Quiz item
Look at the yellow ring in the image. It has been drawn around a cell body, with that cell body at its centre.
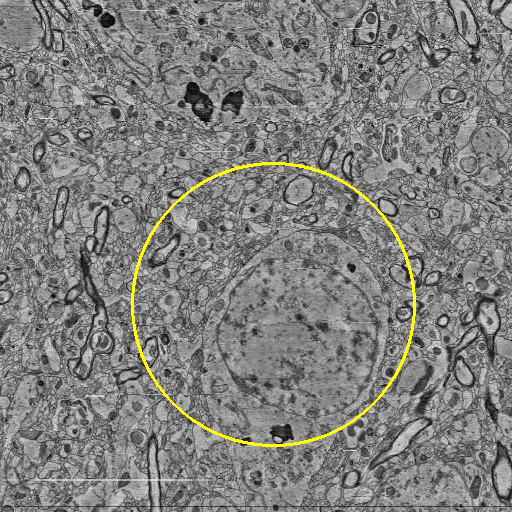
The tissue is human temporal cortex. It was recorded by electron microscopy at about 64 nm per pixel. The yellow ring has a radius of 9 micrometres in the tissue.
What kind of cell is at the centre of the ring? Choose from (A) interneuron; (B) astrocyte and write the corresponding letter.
A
